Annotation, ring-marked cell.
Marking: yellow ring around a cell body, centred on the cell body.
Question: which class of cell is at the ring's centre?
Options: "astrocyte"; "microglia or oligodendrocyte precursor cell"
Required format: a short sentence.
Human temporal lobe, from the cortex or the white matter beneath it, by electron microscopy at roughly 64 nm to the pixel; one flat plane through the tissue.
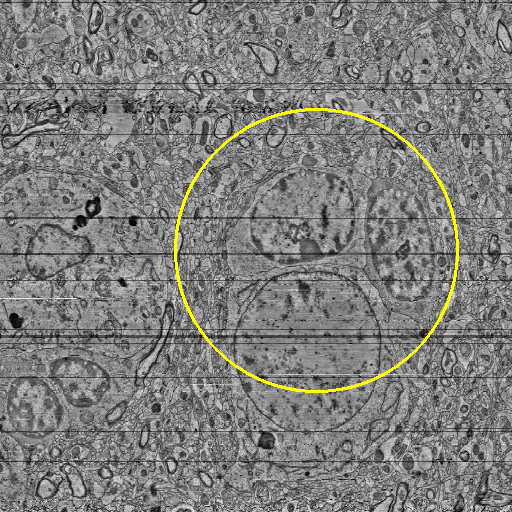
At the ring's centre is a microglial cell or oligodendrocyte precursor cell.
